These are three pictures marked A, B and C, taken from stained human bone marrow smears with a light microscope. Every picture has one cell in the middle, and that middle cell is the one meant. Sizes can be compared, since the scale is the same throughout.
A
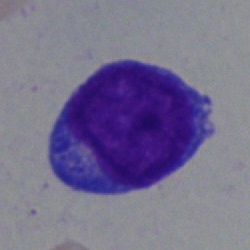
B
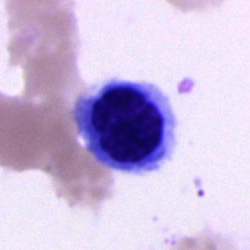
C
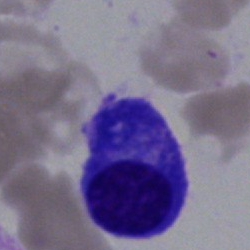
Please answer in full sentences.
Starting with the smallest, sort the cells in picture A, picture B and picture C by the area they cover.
From the smallest up, the order is B, C, A.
